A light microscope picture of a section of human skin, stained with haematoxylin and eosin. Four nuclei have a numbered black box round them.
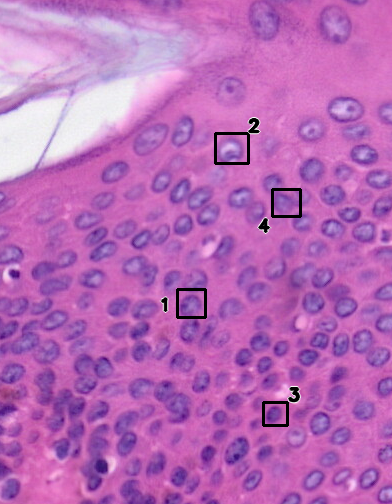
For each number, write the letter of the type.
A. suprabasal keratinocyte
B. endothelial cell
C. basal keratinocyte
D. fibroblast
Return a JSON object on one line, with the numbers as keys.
{"1": "A", "2": "A", "3": "C", "4": "A"}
